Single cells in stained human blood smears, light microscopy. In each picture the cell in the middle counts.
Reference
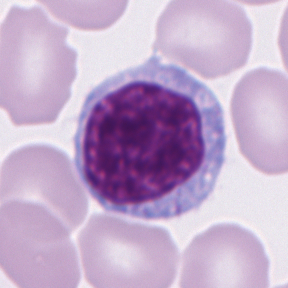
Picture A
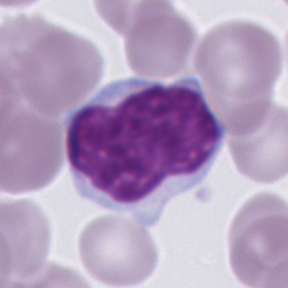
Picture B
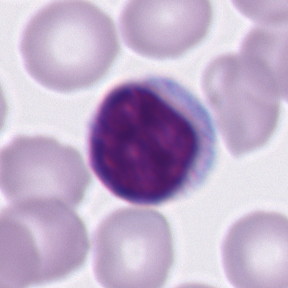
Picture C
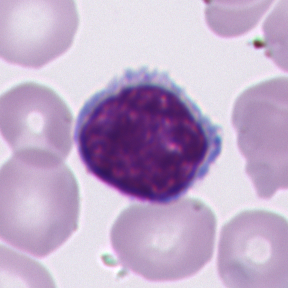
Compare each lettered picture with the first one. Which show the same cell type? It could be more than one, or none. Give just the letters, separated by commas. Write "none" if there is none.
B, C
